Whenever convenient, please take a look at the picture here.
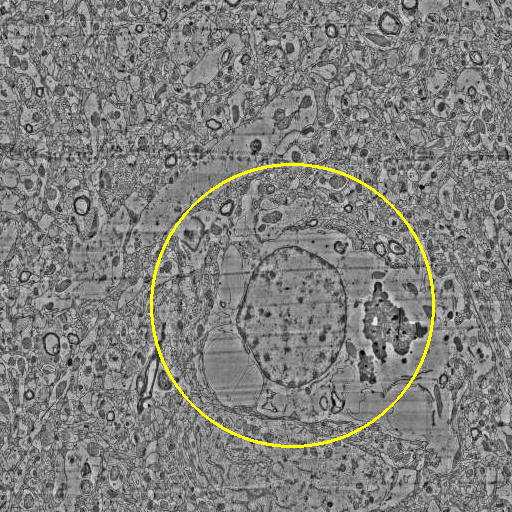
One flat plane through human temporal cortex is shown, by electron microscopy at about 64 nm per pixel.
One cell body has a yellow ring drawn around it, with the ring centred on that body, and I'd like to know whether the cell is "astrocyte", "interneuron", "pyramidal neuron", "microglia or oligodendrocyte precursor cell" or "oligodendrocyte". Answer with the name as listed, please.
astrocyte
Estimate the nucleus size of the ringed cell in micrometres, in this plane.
In this plane the nucleus measures roughly 9 by 7 micrometers.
